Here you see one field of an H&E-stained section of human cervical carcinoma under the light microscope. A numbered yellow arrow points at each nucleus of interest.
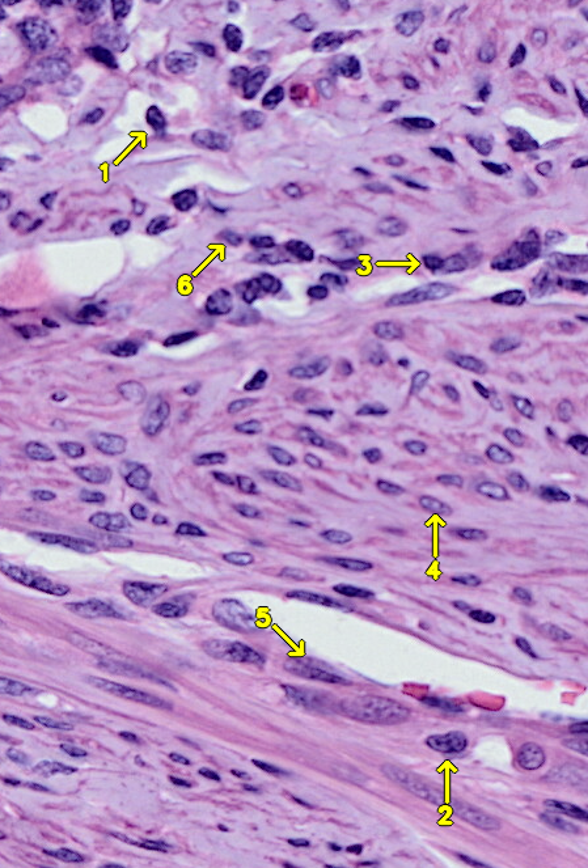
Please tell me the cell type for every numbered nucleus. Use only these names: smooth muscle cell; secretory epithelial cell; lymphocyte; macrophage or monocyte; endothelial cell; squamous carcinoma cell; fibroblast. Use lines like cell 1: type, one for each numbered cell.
cell 1: lymphocyte
cell 2: lymphocyte
cell 3: lymphocyte
cell 4: smooth muscle cell
cell 5: endothelial cell
cell 6: lymphocyte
